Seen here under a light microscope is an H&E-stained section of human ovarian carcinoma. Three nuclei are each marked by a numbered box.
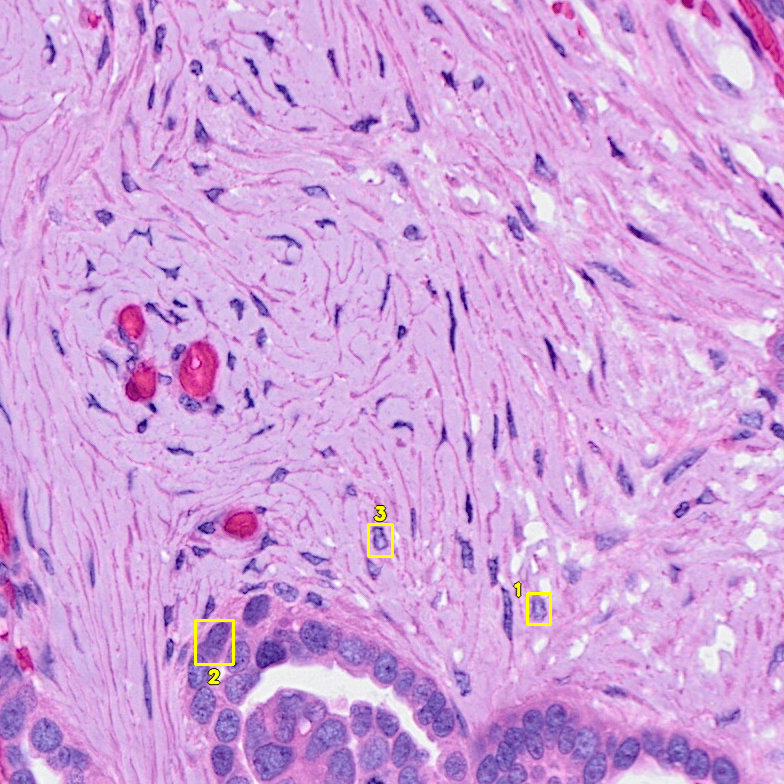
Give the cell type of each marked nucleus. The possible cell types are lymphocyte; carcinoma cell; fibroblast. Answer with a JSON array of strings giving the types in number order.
["fibroblast", "carcinoma cell", "fibroblast"]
